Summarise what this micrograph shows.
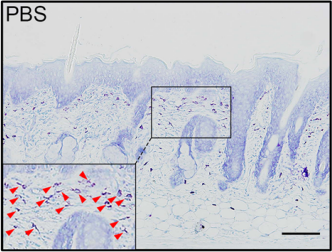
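Skin stained pale blue with a thickened surface epidermis and hair follicles extending into the dermis. Numerous small, deep purple mast cells are scattered through the dermis, crowded in the enlarged inset beside a follicle.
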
